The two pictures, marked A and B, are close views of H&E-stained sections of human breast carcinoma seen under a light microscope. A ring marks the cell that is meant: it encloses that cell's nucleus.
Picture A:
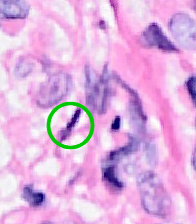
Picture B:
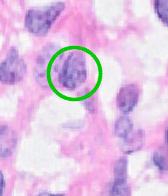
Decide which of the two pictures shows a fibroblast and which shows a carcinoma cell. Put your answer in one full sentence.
In picture A the cell is a fibroblast; in picture B, a carcinoma cell.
